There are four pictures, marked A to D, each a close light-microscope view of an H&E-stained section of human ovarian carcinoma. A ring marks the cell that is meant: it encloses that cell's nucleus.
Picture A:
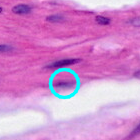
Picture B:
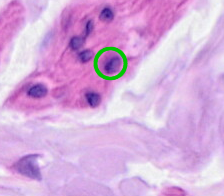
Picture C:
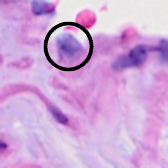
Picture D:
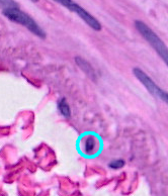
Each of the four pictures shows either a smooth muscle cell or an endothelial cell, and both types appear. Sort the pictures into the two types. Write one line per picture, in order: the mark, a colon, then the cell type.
A: smooth muscle cell
B: smooth muscle cell
C: endothelial cell
D: endothelial cell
